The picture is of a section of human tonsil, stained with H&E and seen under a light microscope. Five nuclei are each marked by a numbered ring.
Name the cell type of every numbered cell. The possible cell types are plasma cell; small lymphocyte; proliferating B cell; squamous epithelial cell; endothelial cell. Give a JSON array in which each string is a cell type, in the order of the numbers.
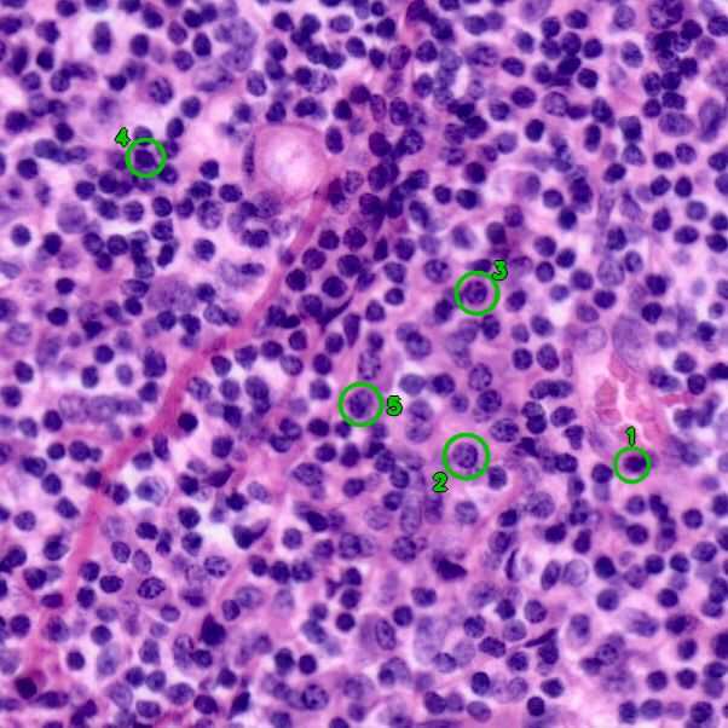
["endothelial cell", "plasma cell", "plasma cell", "small lymphocyte", "plasma cell"]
